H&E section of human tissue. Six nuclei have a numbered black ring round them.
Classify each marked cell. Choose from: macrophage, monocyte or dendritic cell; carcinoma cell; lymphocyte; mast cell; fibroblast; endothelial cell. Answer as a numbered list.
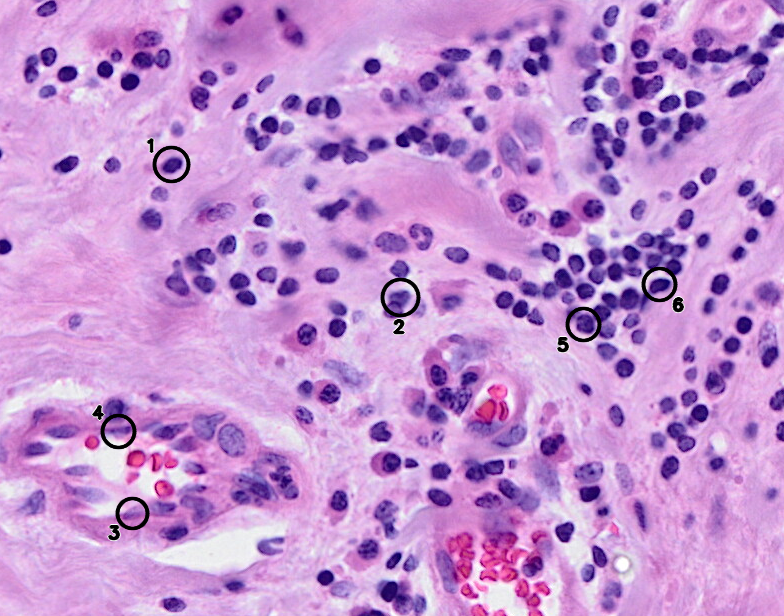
1. lymphocyte
2. lymphocyte
3. endothelial cell
4. endothelial cell
5. lymphocyte
6. lymphocyte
